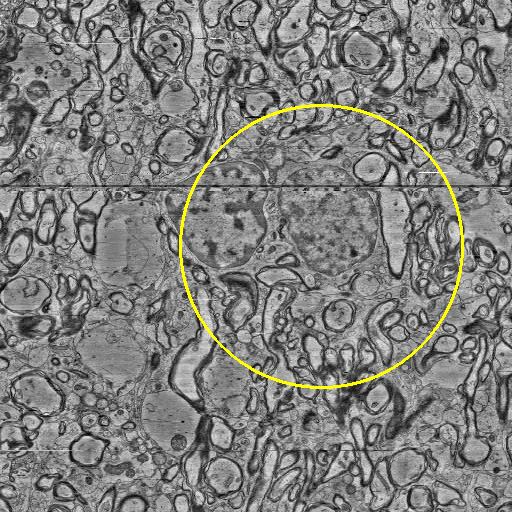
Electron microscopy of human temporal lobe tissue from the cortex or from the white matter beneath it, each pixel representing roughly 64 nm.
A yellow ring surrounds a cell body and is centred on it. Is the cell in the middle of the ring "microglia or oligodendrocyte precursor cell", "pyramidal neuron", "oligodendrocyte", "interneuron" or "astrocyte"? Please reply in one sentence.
The ring is centred on an oligodendrocyte.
